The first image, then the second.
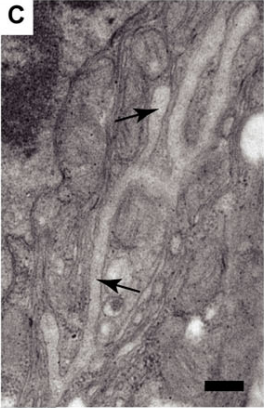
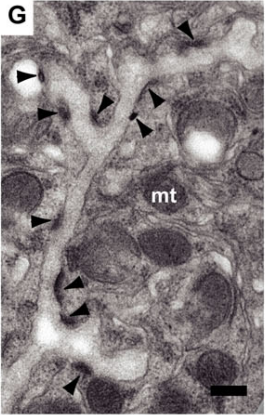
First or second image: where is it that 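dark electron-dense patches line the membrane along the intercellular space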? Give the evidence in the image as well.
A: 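Second image: many small dark patches sit under the membranes bordering the branching intercellular space. First image: the membranes bordering the narrow intercellular space are smooth and without dark patches. The answer: the second image.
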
